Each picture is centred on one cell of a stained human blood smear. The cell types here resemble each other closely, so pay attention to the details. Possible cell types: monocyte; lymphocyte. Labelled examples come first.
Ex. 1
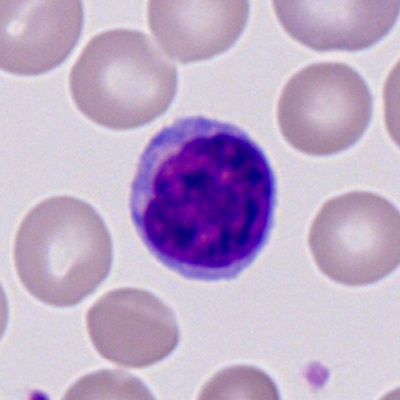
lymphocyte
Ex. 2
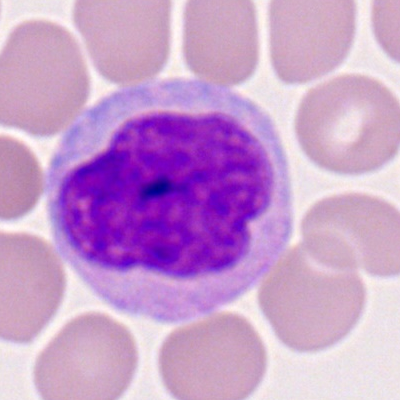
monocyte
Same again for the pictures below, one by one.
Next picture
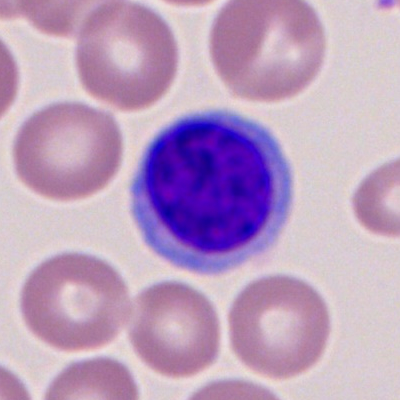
lymphocyte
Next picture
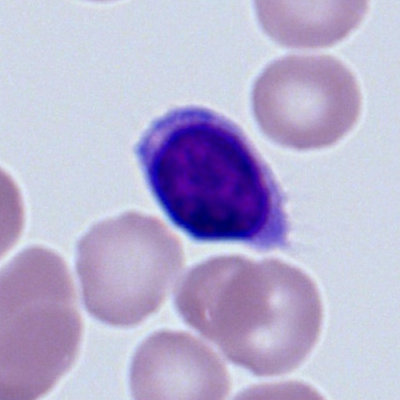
lymphocyte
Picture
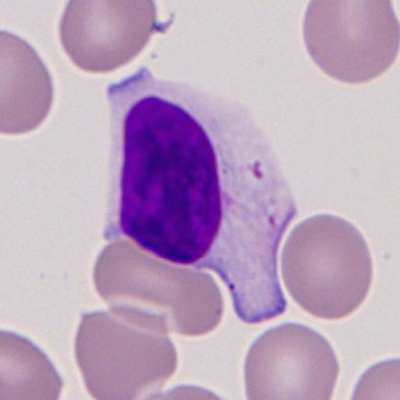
lymphocyte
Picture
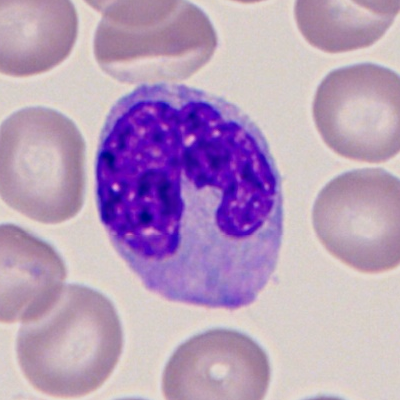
monocyte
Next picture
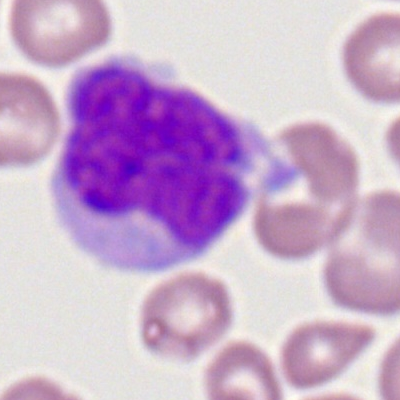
monocyte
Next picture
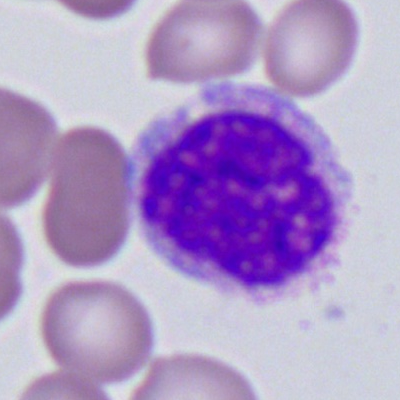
monocyte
